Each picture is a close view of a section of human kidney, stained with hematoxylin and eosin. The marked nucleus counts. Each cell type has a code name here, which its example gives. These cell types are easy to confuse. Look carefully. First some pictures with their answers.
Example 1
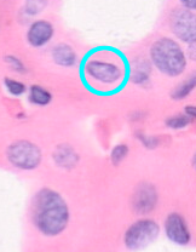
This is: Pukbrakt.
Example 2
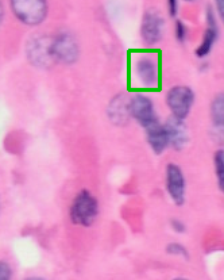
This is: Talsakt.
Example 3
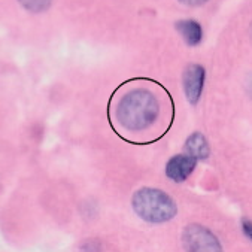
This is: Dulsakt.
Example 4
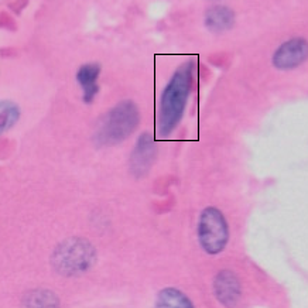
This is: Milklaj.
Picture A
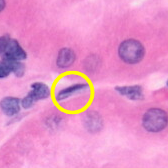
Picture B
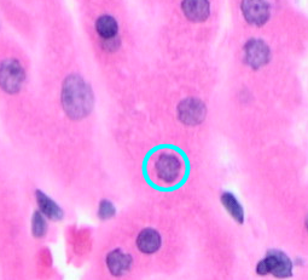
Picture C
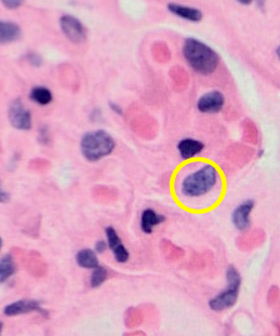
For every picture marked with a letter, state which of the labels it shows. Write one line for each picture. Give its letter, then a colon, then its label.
A: Milklaj.
B: Dulsakt.
C: Milklaj.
